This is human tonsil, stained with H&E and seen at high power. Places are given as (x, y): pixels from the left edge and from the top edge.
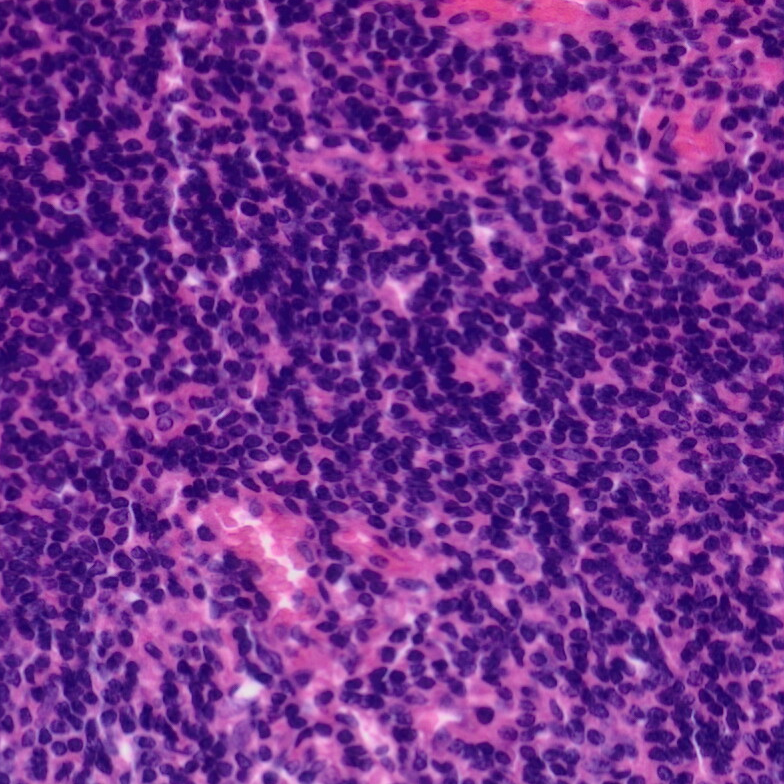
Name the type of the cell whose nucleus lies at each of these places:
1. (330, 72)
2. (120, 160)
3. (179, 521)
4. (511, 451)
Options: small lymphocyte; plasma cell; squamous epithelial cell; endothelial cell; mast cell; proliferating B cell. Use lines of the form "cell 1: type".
cell 1: small lymphocyte
cell 2: small lymphocyte
cell 3: endothelial cell
cell 4: small lymphocyte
